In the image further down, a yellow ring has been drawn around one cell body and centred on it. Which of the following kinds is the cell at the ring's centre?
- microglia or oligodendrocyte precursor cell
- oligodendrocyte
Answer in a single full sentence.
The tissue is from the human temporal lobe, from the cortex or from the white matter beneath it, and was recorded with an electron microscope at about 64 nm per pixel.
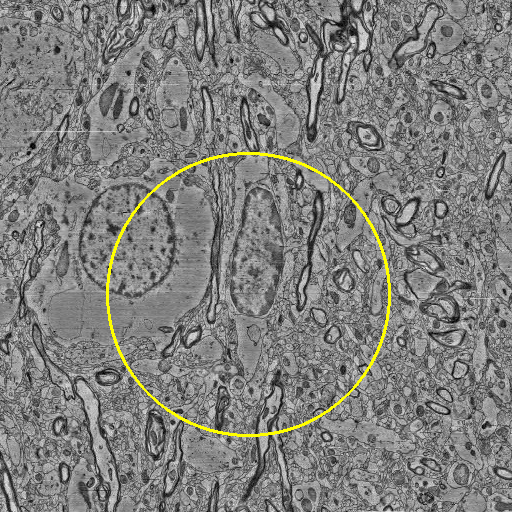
In the picture, the cell sitting at the centre of the yellow ring is a microglial cell or oligodendrocyte precursor cell.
